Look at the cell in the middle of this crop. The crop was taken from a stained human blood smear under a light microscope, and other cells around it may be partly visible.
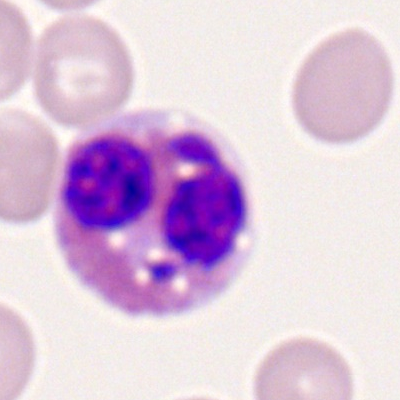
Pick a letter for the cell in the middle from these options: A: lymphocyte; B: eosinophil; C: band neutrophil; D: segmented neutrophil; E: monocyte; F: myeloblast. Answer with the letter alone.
B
